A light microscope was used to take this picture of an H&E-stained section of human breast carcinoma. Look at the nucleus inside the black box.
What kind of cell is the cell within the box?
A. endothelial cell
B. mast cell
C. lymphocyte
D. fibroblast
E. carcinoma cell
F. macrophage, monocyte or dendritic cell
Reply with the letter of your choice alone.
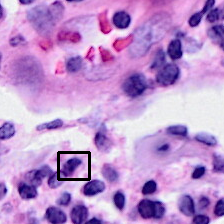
C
